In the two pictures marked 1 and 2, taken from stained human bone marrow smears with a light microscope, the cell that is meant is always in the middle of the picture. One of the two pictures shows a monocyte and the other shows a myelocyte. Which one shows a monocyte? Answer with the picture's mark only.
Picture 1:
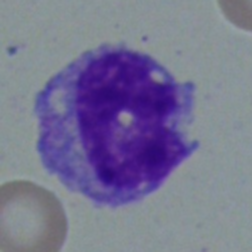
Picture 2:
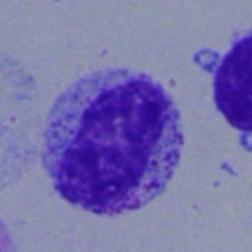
1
